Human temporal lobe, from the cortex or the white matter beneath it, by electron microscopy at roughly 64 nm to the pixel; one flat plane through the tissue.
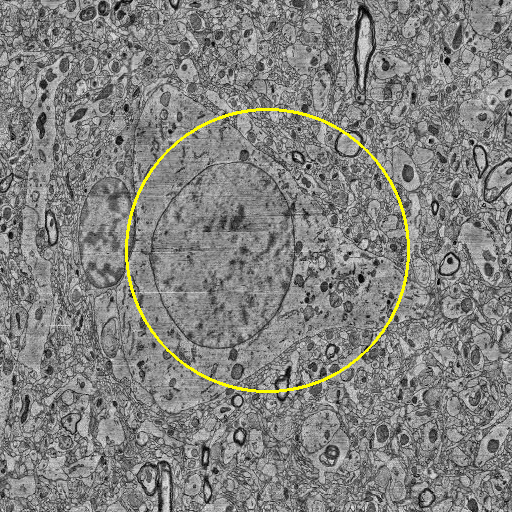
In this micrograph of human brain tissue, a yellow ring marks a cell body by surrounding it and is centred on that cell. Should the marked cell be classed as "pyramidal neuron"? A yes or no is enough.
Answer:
yes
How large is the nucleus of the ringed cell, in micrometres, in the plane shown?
The ringed cell's nucleus measures approximately 13 by 9 micrometres in this plane.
